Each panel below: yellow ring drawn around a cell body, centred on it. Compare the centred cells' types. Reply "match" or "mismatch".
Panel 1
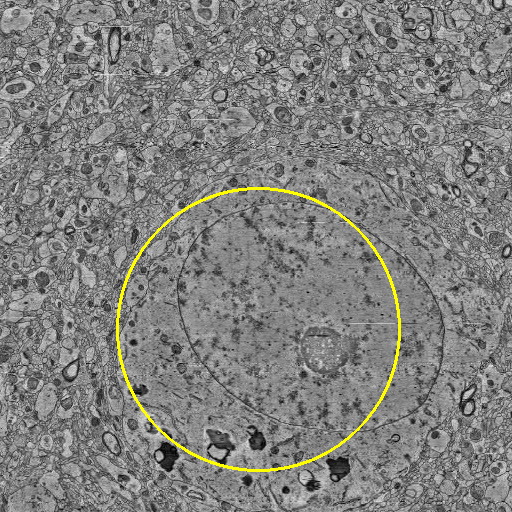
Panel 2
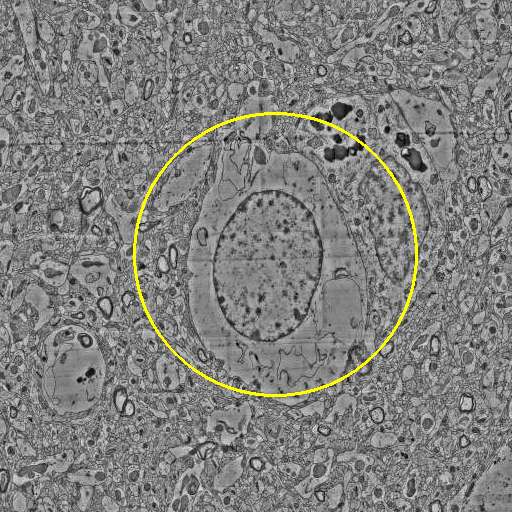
mismatch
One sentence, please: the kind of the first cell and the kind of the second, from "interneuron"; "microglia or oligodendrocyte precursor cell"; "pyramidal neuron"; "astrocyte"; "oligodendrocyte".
The ring in the first picture surrounds a pyramidal neuron, and the ring in the second surrounds an astrocyte.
